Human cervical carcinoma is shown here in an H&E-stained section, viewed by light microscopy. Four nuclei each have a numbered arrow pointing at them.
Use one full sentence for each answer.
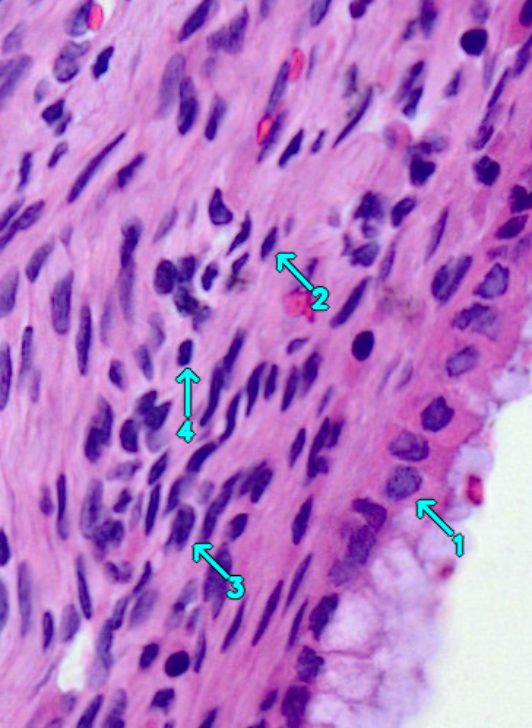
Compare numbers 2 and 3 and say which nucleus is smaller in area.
Nucleus 2 covers less area, with nucleus 3 about 2.5 times as large.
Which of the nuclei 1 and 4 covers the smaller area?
Number 4 is smaller, since number 1 takes up about 3 times as much area.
